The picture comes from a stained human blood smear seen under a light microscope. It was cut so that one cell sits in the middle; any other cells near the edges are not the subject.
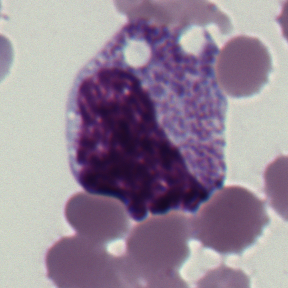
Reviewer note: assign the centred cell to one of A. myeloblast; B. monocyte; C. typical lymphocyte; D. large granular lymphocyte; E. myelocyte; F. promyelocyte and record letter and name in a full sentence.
That the central cell is a myelocyte makes option E correct.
